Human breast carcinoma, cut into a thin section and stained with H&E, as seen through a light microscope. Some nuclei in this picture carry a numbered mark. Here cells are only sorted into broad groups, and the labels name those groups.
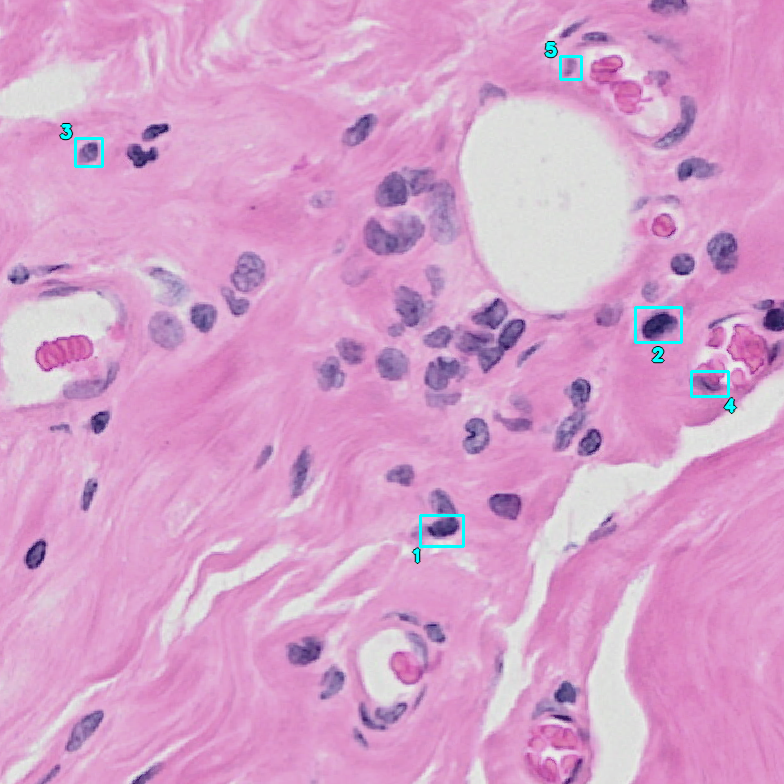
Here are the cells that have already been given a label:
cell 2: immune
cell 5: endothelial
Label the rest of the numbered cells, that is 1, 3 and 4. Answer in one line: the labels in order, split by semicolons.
immune; immune; endothelial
